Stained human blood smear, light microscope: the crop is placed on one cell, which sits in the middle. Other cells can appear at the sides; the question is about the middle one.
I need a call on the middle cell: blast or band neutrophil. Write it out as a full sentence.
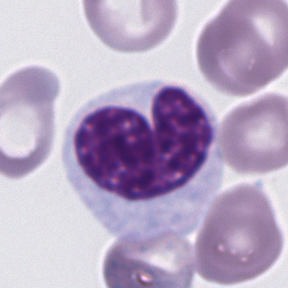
Present in the middle of the crop is a band neutrophil.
